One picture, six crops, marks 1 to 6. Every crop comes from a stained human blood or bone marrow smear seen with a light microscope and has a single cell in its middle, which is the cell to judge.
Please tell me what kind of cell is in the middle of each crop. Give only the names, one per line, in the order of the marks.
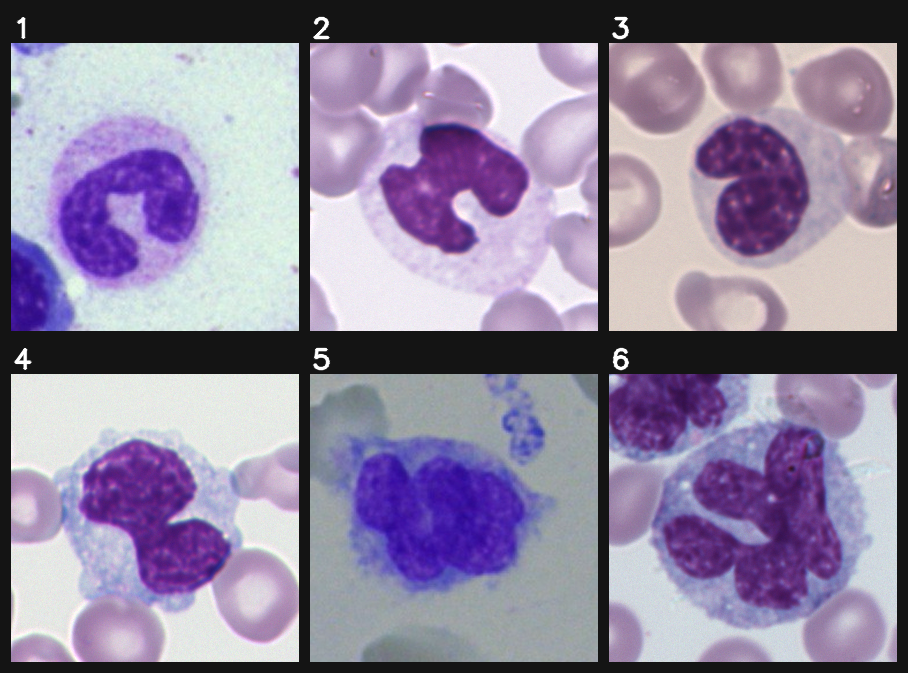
band neutrophil
band neutrophil
band neutrophil
monocyte
monocyte
monocyte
